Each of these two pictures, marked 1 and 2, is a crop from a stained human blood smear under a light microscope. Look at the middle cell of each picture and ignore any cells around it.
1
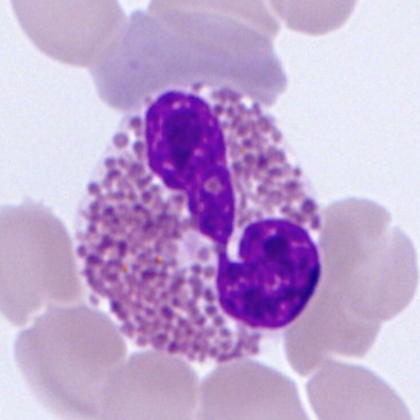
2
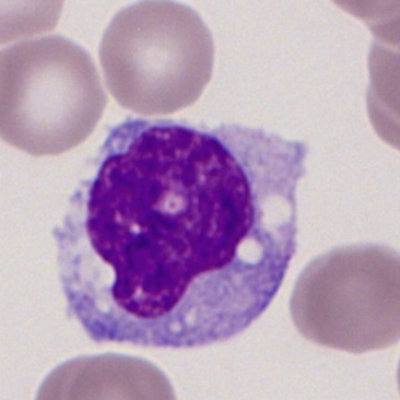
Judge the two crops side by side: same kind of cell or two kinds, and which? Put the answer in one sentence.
No, crop 1 gives us an eosinophil and crop 2 gives us a monocyte.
